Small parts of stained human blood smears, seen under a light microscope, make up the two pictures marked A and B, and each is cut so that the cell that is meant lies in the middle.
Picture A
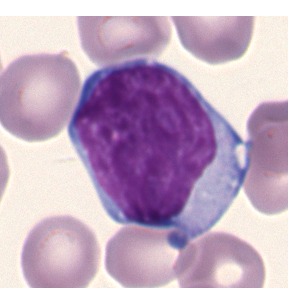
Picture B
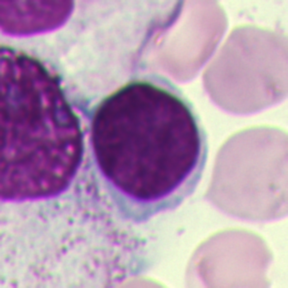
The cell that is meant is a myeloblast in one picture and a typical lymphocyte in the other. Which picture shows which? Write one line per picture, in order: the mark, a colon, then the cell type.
A: myeloblast
B: typical lymphocyte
